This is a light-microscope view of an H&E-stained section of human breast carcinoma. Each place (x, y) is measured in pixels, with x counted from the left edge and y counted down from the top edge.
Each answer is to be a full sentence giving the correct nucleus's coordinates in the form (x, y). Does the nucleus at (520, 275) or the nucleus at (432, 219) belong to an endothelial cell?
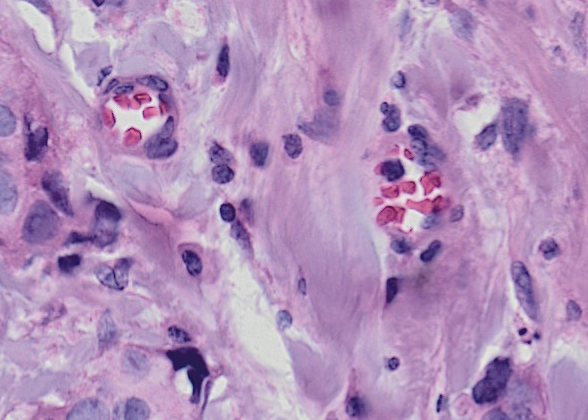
The nucleus of the pair that lies within an endothelial cell is at (432, 219).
